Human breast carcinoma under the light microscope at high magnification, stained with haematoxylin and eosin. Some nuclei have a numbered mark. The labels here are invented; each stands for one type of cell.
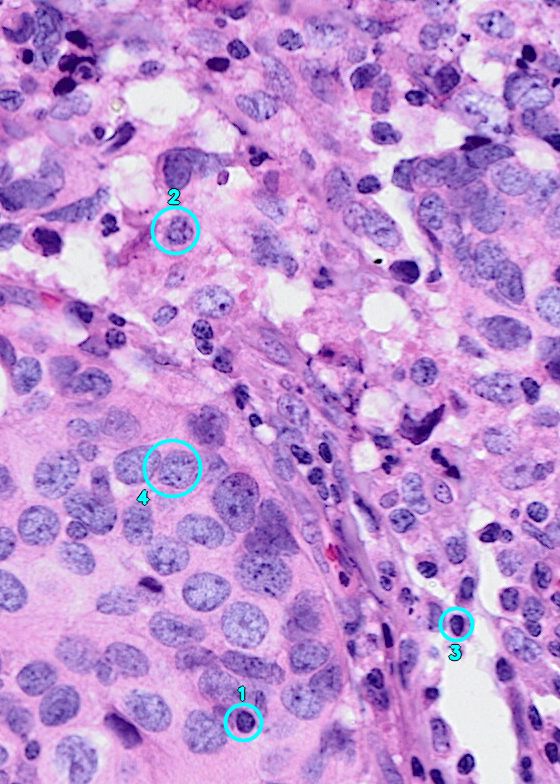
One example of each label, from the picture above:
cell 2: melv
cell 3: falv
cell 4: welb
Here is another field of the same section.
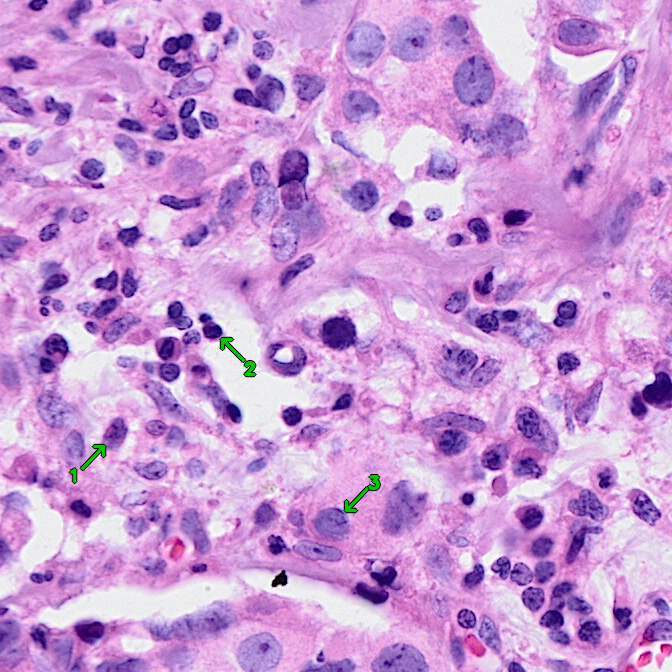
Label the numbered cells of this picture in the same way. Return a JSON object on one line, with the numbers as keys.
{"1": "melv", "2": "falv", "3": "welb"}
